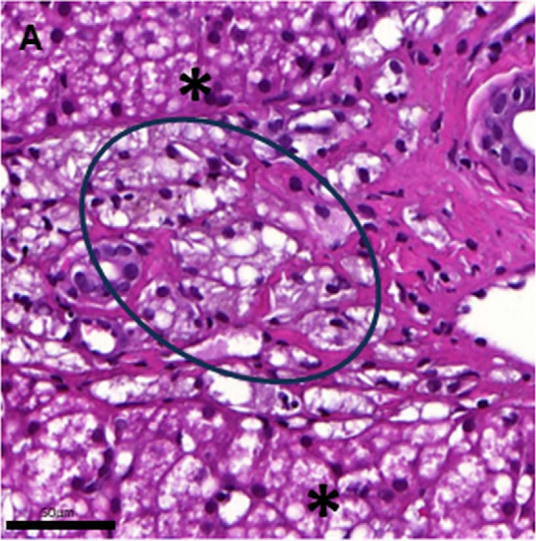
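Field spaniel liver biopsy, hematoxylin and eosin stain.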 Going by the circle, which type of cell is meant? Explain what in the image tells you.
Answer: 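Lipid‐containing macrophages. A cluster of cells with pale, vacuolated cytoplasm lies within the circle. The circled cells lie among pink fibrous strands.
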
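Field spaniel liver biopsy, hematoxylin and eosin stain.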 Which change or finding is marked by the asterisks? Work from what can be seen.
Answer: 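Moderate lipidosis of hepatocytes. Their cytoplasm is filled with clear round vacuoles.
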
